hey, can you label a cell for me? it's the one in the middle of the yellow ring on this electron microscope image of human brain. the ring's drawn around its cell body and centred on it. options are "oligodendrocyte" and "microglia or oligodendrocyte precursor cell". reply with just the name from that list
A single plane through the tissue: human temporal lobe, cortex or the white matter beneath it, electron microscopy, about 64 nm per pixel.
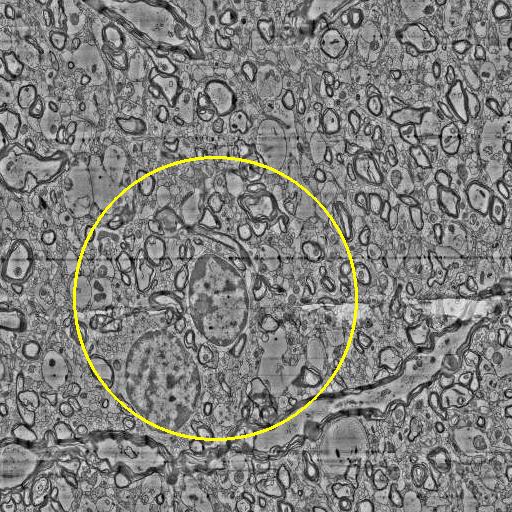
microglia or oligodendrocyte precursor cell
